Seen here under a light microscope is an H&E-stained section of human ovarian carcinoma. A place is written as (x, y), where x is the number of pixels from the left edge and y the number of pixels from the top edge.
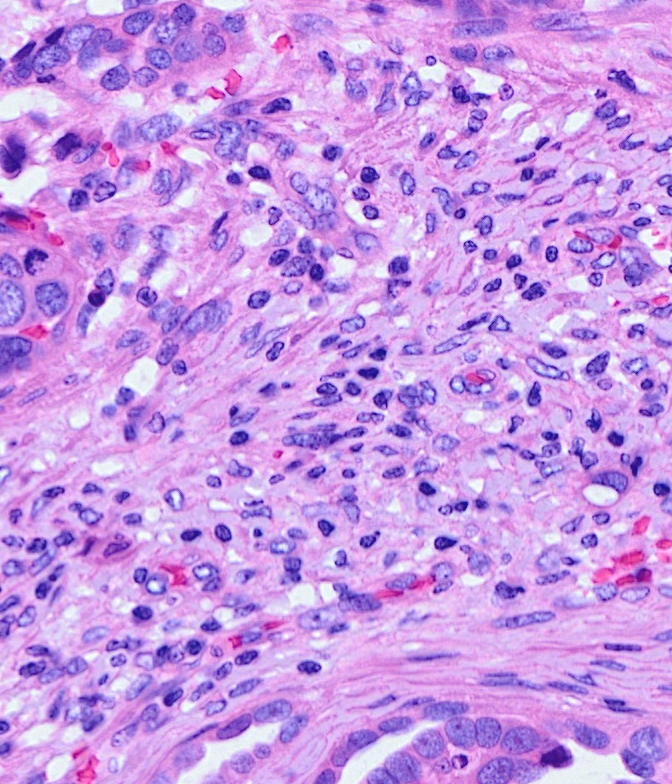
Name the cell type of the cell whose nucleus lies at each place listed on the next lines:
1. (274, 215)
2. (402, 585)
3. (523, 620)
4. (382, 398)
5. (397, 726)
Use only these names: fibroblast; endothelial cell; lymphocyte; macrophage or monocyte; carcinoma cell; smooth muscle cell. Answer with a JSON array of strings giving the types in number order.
["lymphocyte", "endothelial cell", "fibroblast", "lymphocyte", "carcinoma cell"]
